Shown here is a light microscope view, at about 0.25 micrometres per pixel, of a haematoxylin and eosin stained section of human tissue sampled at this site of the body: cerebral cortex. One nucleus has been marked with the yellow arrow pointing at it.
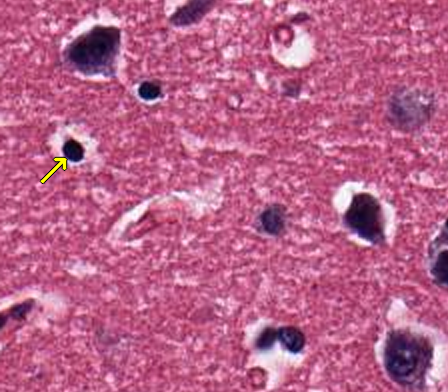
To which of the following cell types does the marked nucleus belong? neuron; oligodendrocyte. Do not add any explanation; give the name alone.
oligodendrocyte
